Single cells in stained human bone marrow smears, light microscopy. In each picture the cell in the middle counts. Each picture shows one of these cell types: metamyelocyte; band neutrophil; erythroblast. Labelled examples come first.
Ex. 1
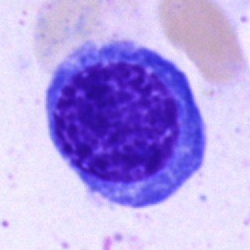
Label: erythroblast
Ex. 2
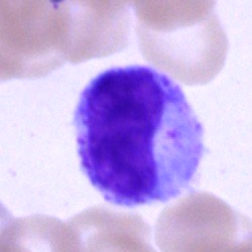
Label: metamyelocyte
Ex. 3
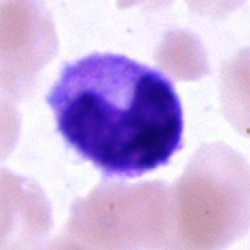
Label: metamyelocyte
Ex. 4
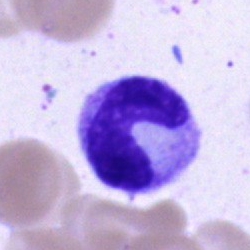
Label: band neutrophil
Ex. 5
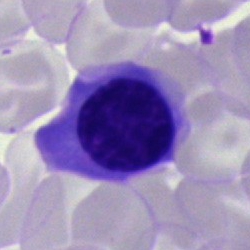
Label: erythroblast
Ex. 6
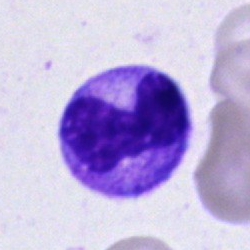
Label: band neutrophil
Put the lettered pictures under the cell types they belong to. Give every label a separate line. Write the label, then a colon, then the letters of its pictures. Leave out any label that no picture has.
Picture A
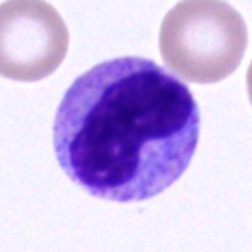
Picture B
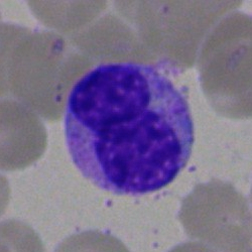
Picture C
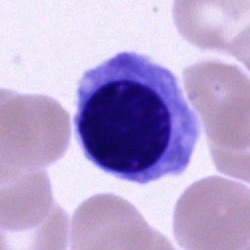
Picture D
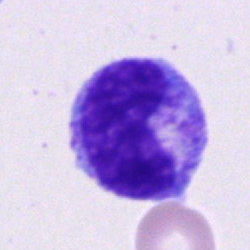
metamyelocyte: A, B, D
erythroblast: C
